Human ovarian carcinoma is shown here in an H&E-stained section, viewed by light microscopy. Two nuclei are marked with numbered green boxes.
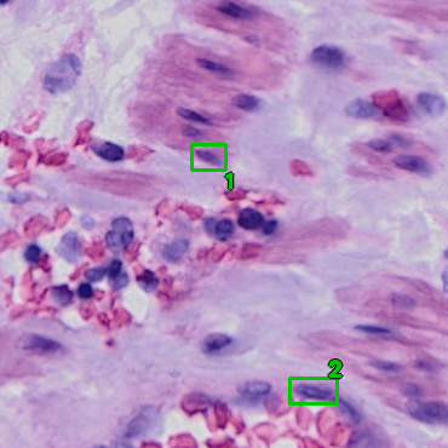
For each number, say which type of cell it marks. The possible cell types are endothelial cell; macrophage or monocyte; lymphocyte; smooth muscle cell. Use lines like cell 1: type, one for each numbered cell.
cell 1: smooth muscle cell
cell 2: endothelial cell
